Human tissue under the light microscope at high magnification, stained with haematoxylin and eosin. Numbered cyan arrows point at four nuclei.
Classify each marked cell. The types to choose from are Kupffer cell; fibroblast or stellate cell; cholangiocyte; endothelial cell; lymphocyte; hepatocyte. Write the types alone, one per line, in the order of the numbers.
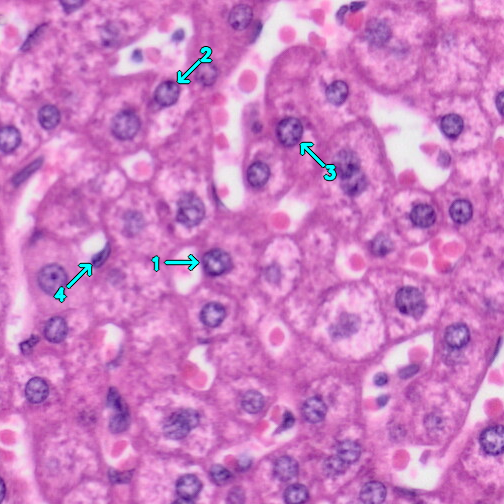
hepatocyte
hepatocyte
hepatocyte
endothelial cell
